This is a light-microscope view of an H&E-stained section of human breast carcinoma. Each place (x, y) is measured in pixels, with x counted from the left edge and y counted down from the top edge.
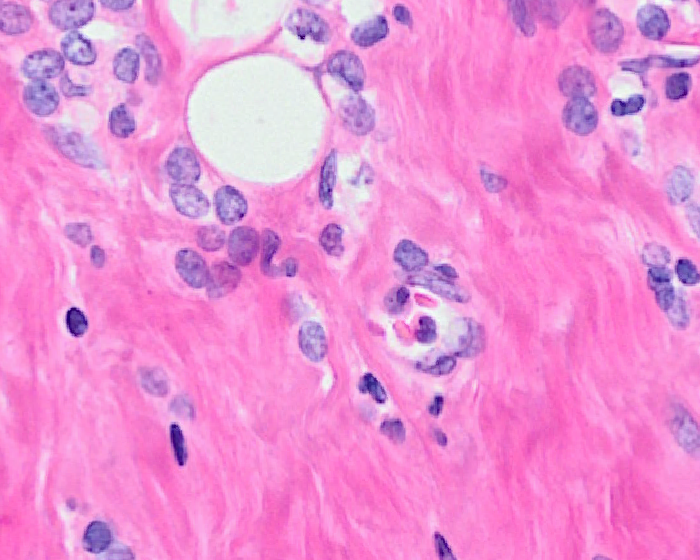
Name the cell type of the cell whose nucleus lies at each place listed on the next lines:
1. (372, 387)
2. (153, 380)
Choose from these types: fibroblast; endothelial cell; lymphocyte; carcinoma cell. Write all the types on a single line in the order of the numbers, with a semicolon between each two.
lymphocyte; fibroblast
